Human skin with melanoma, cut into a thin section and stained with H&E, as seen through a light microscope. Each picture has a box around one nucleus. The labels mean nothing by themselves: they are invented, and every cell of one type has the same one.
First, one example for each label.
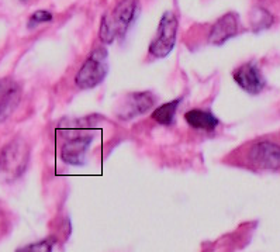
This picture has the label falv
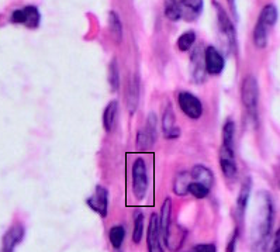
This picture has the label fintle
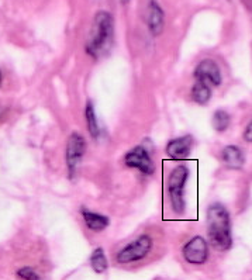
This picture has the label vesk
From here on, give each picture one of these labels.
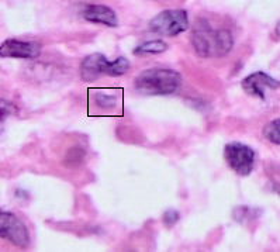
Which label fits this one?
vesk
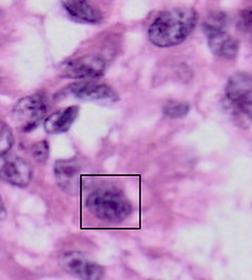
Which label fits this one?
falv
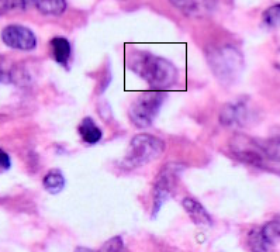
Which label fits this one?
falv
